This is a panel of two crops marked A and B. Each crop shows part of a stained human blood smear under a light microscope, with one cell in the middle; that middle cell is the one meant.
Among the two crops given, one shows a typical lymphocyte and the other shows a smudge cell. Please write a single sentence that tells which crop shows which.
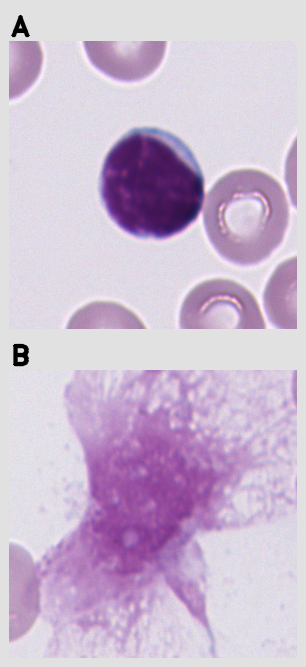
Crop A is recognised as a typical lymphocyte, crop B as a smudge cell.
